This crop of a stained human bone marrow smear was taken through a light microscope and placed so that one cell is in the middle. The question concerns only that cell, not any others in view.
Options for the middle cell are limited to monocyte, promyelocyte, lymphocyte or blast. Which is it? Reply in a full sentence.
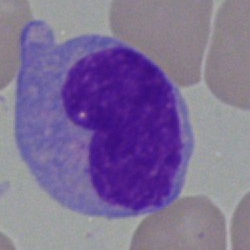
What the crop centres on is a monocyte.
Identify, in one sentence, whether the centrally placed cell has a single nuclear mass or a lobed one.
Please observe that the nucleus consists of one compact round, oval or kidney-shaped mass.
